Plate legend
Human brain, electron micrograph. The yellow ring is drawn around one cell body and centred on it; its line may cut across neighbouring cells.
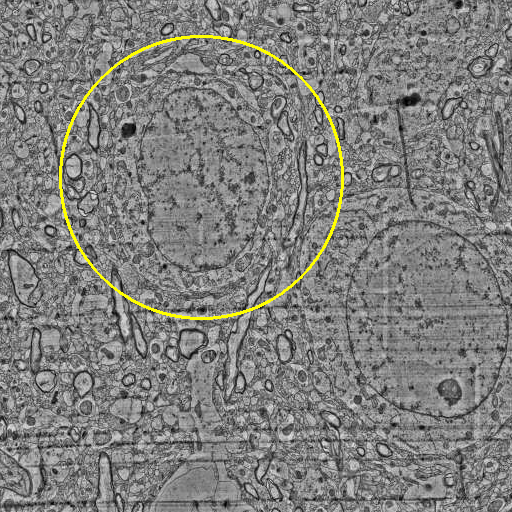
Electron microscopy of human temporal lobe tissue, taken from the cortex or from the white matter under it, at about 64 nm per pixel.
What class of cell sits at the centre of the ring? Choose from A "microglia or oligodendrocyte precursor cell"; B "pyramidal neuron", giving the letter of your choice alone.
B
